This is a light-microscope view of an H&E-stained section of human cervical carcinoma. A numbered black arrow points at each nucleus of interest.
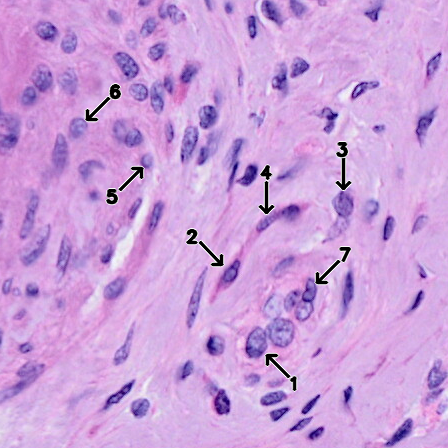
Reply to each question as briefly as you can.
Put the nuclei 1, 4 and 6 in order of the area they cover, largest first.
1, 6, 4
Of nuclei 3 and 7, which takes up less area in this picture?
7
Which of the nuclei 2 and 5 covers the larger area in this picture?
2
